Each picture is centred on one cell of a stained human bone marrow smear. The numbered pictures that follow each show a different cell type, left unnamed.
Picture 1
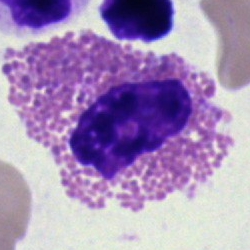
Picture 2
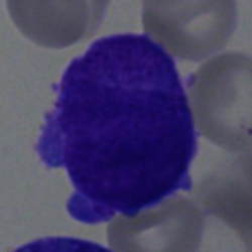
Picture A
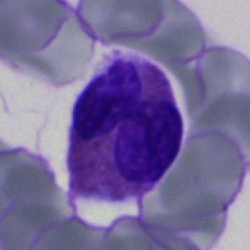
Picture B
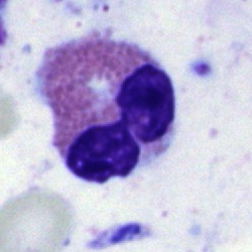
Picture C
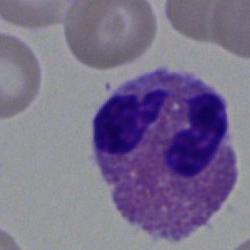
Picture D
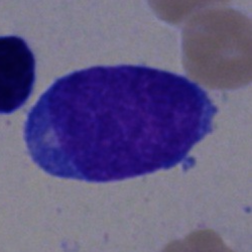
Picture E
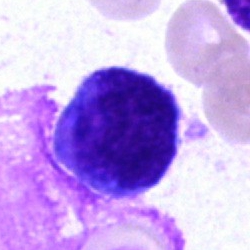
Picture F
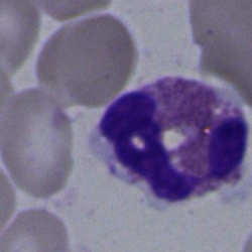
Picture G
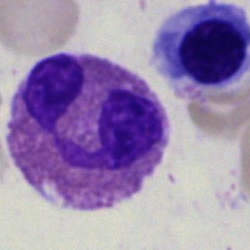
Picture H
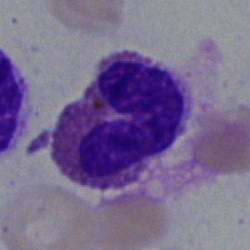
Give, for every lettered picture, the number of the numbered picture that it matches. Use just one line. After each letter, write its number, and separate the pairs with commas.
A 1, B 1, C 1, D 2, E 2, F 1, G 1, H 1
